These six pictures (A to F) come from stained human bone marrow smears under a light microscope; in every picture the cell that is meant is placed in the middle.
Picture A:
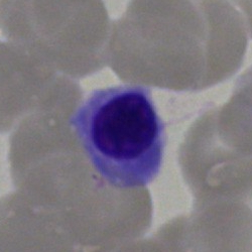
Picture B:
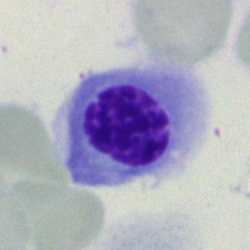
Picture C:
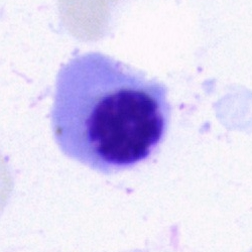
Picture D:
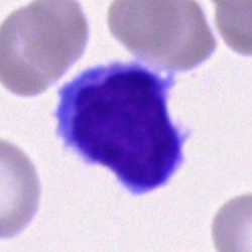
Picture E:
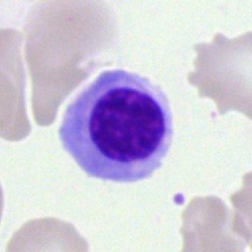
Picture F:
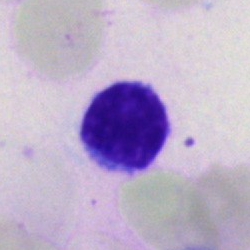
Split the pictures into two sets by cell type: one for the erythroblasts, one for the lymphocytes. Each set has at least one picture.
A: erythroblast
B: erythroblast
C: erythroblast
D: lymphocyte
E: erythroblast
F: lymphocyte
